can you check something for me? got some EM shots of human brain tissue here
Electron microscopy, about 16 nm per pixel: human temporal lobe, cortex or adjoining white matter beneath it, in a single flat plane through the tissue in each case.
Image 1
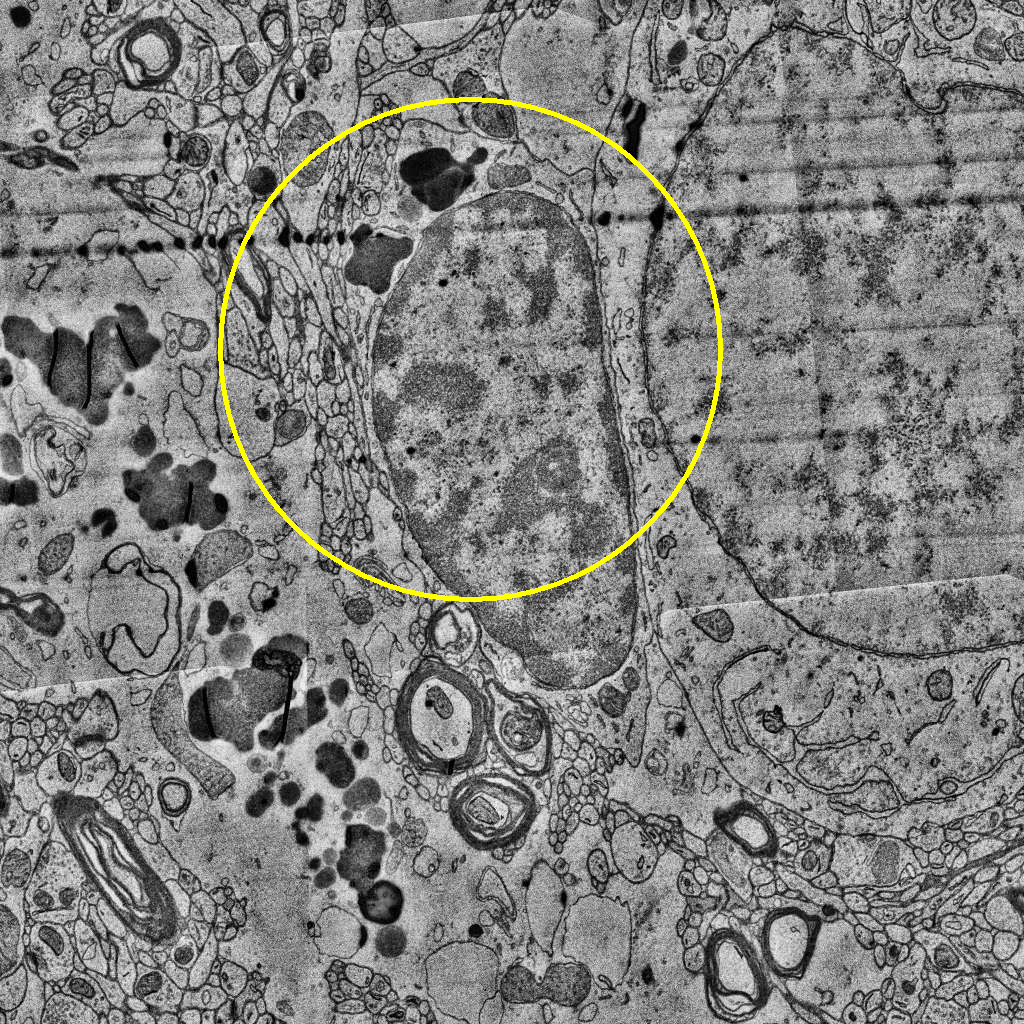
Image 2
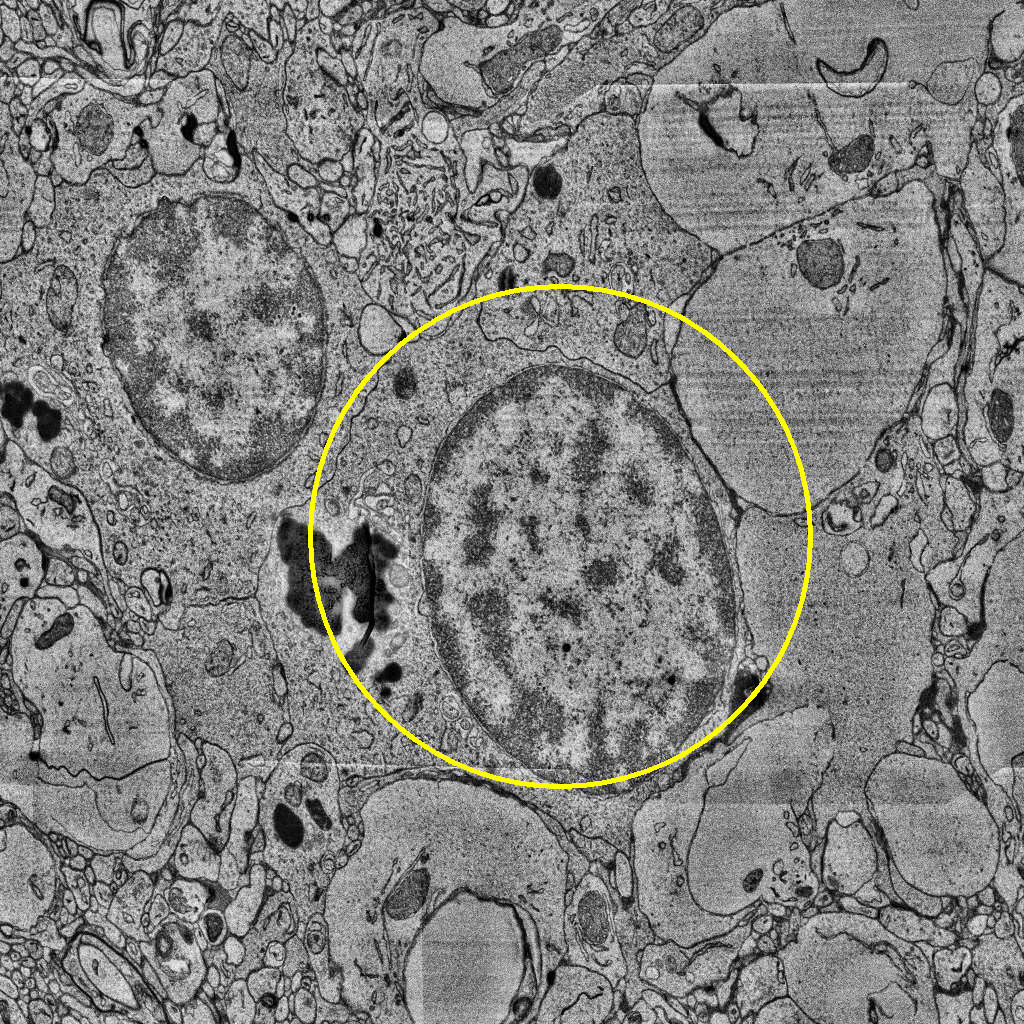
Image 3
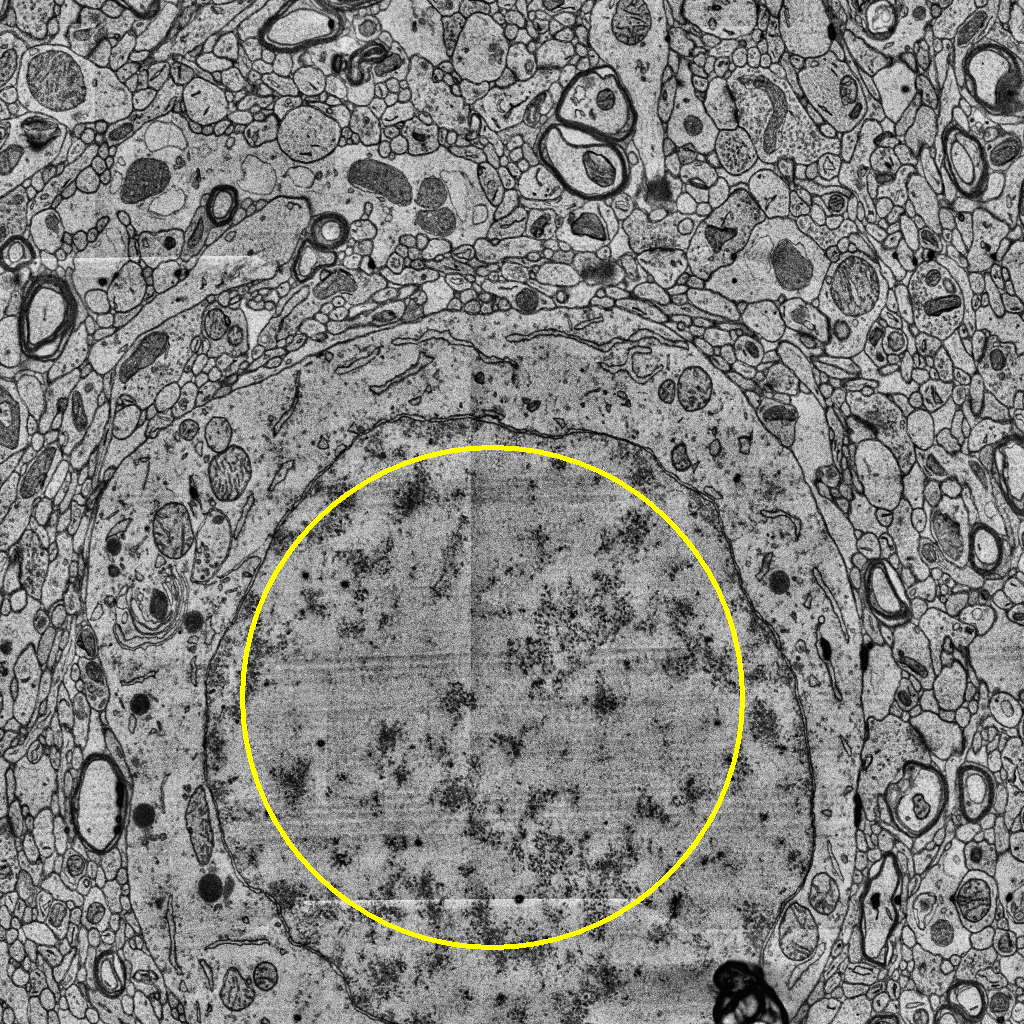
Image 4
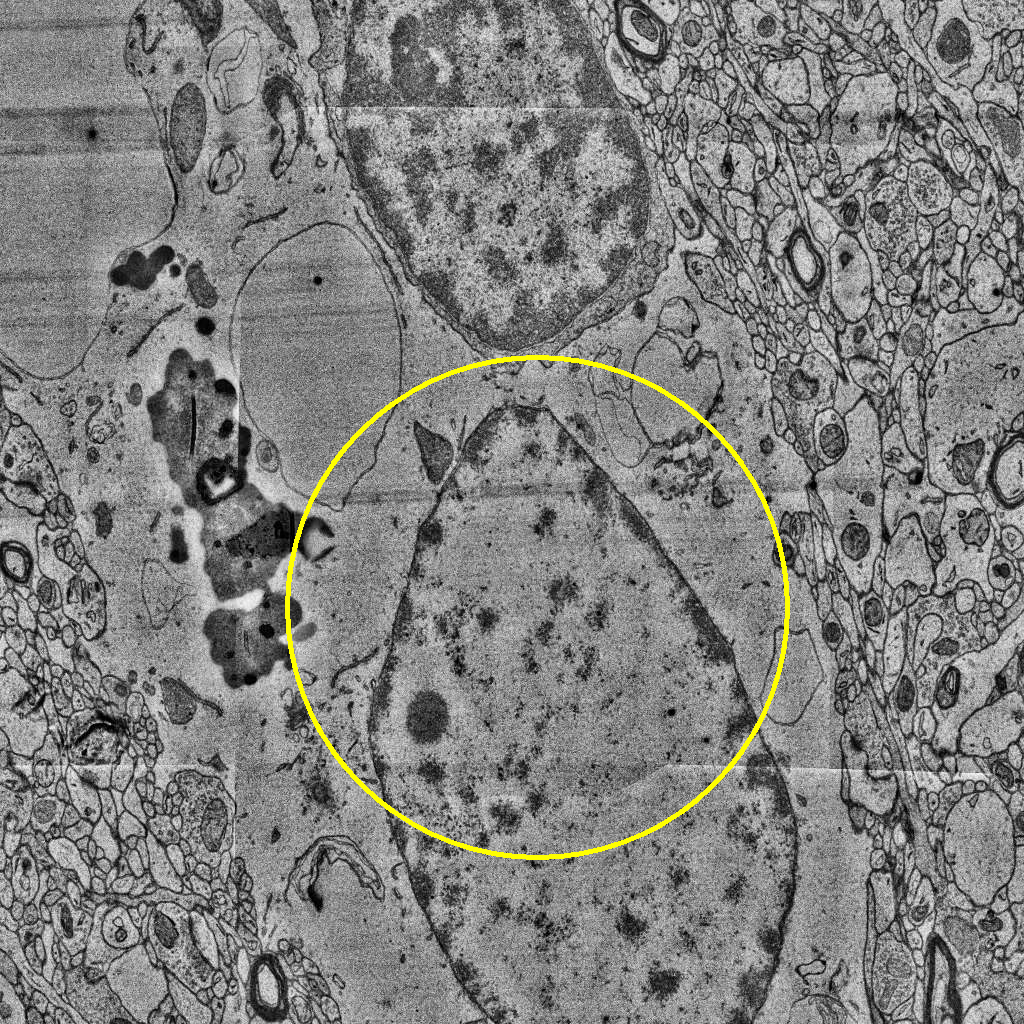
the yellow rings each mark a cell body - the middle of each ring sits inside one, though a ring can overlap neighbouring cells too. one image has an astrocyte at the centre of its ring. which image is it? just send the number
4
